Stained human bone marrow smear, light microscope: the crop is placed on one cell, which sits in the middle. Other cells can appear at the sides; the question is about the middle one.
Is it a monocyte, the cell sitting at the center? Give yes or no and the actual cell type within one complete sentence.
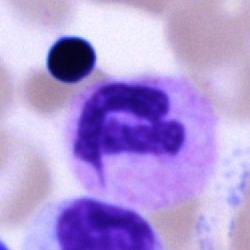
No, the middle of the crop holds a segmented neutrophil, not a monocyte.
